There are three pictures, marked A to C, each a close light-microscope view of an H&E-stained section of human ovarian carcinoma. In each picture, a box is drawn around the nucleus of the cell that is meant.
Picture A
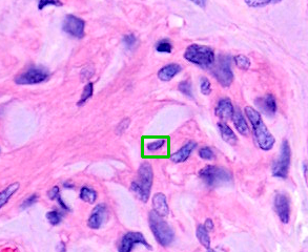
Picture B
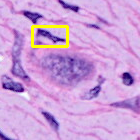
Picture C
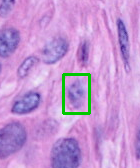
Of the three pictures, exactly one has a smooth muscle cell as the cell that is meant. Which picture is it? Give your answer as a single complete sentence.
The picture with the smooth muscle cell is A.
